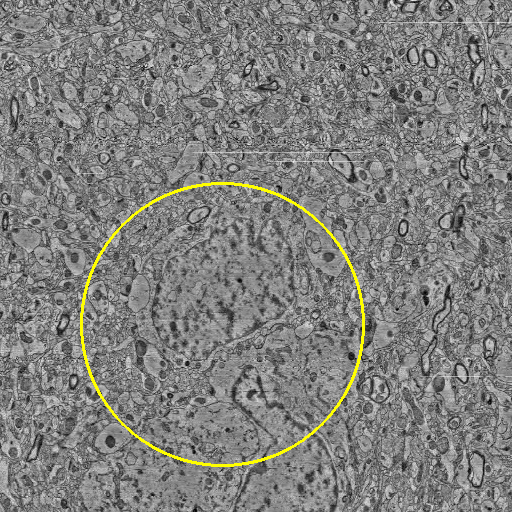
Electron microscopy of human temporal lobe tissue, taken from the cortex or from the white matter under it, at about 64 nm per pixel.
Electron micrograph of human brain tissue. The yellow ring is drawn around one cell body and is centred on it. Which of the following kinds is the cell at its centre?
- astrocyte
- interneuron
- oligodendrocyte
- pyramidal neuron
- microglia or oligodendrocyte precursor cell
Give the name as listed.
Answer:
interneuron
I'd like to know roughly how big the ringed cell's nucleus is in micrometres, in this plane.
Approximately 10 x 7 micrometres in this plane.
